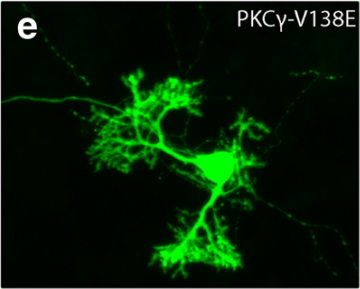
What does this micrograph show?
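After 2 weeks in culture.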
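Thick dendrites leave the cell body, one group reaching up and to the left, another downward. Each branches many times into a dense dendritic tree whose fine endings bear many small protrusions. A thin, beaded process crosses the upper left of the field, apart from the dendrites.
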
